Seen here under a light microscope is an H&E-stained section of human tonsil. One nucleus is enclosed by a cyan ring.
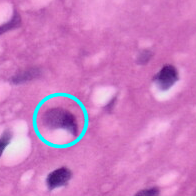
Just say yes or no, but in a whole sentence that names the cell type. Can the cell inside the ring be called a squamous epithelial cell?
Yes, put very simply, the cell inside the ring is a squamous epithelial cell.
